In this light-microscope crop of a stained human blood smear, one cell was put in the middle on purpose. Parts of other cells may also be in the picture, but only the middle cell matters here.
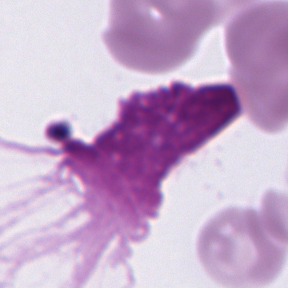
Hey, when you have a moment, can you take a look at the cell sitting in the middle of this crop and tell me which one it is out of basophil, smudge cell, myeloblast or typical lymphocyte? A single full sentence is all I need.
The cell at the central position in this crop is a smudge cell.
